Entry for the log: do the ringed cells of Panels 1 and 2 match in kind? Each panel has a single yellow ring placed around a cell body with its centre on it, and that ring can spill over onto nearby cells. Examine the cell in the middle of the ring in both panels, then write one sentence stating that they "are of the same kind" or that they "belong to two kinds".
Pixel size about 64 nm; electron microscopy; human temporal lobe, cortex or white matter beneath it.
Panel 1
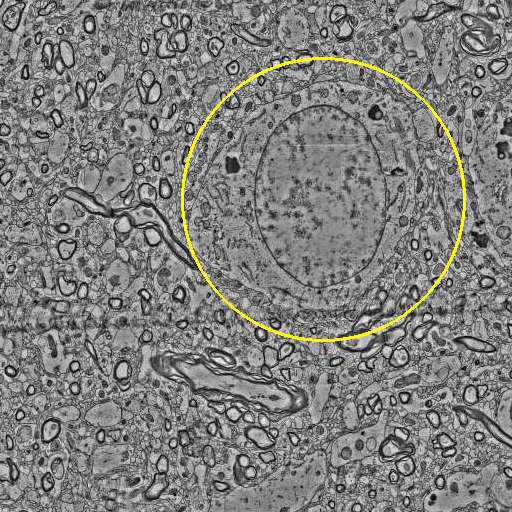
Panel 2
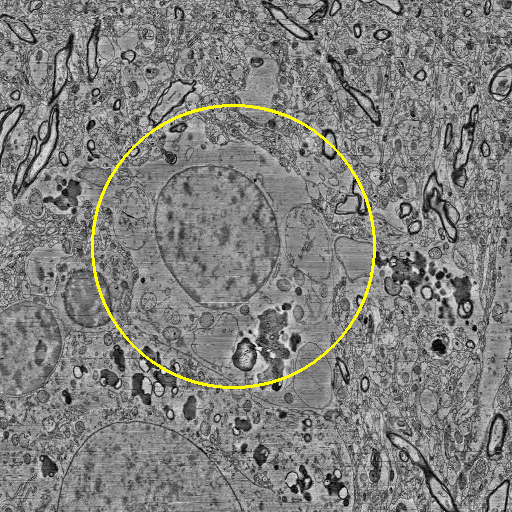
The centre cell of Panel 1's ring and that of Panel 2's ring belong to two kinds.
